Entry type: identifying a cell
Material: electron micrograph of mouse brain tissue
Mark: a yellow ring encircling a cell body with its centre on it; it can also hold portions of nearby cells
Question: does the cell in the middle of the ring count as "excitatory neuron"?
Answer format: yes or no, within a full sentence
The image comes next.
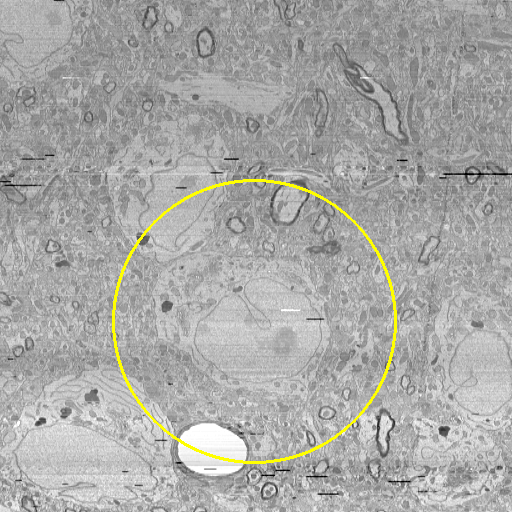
Yes, in the image, the cell in the middle of the yellow ring counts as the queried kind.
